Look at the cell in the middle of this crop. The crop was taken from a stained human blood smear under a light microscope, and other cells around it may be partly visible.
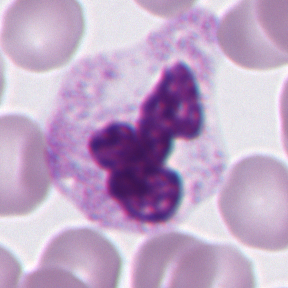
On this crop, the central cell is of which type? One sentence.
The cell marked by its central position in the crop is a segmented neutrophil.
